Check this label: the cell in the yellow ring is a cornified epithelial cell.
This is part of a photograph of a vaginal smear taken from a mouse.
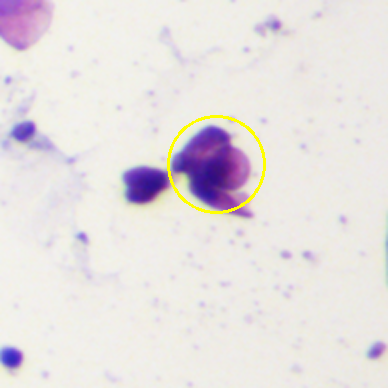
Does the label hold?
The label does not hold; the cell is a nucleated epithelial cell.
